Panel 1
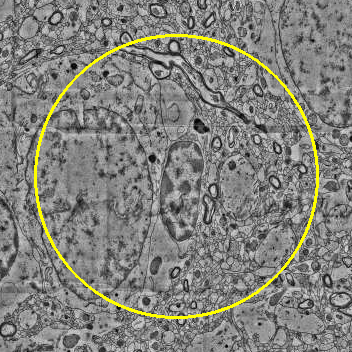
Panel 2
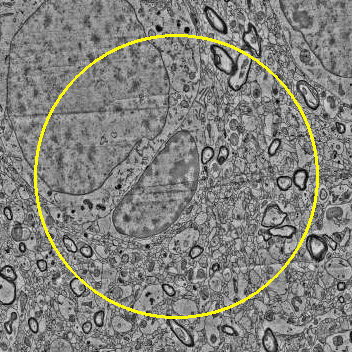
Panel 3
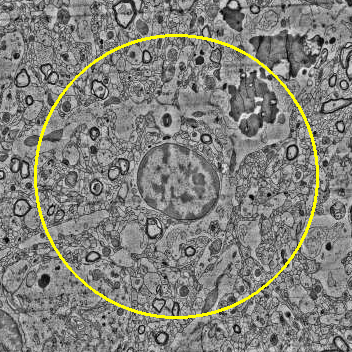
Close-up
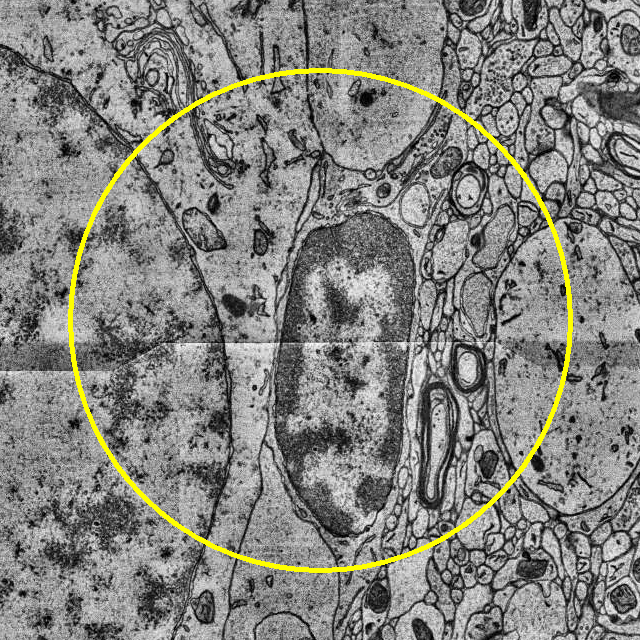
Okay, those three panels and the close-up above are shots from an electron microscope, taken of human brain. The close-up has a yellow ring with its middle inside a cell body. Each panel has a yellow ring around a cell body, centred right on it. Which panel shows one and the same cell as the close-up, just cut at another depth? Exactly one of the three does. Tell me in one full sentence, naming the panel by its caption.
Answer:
The cell that the close-up enlarges is ringed in Panel 1.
